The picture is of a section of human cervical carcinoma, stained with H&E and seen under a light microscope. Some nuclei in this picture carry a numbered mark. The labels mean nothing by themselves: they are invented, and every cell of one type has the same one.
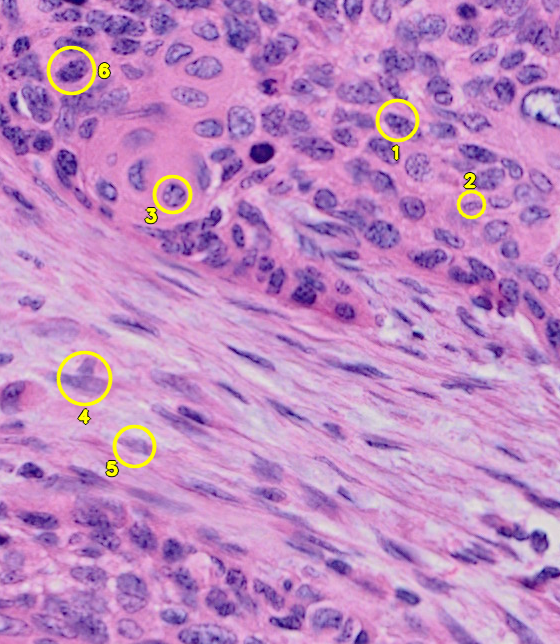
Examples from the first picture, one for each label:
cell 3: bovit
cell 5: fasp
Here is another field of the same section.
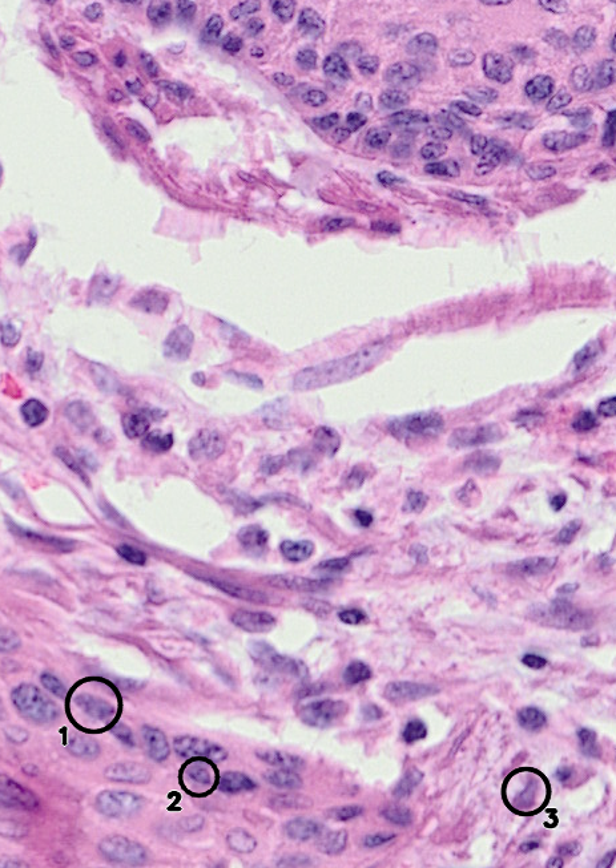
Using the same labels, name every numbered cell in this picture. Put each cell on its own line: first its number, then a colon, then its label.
1: bovit
2: bovit
3: fasp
